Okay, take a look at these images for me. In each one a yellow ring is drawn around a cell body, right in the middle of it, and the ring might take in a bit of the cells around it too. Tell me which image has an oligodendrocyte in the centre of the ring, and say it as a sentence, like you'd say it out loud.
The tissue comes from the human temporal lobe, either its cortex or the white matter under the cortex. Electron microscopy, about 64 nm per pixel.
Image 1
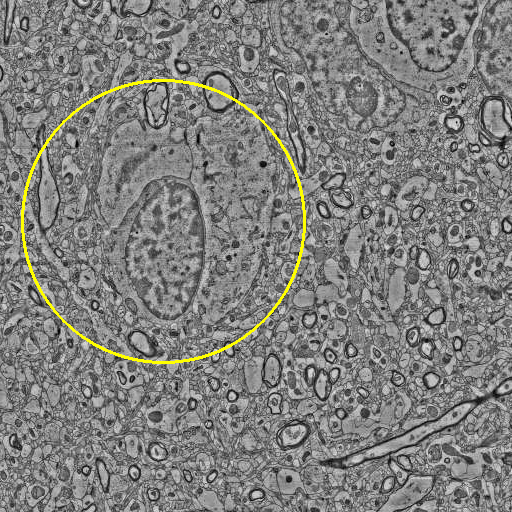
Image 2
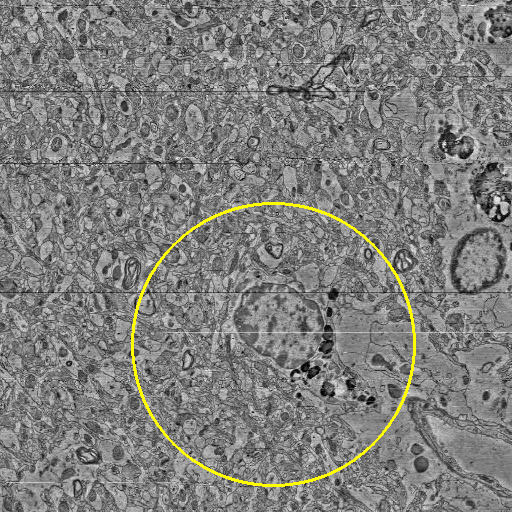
Image 1 is the one with it in the centre of the ring.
